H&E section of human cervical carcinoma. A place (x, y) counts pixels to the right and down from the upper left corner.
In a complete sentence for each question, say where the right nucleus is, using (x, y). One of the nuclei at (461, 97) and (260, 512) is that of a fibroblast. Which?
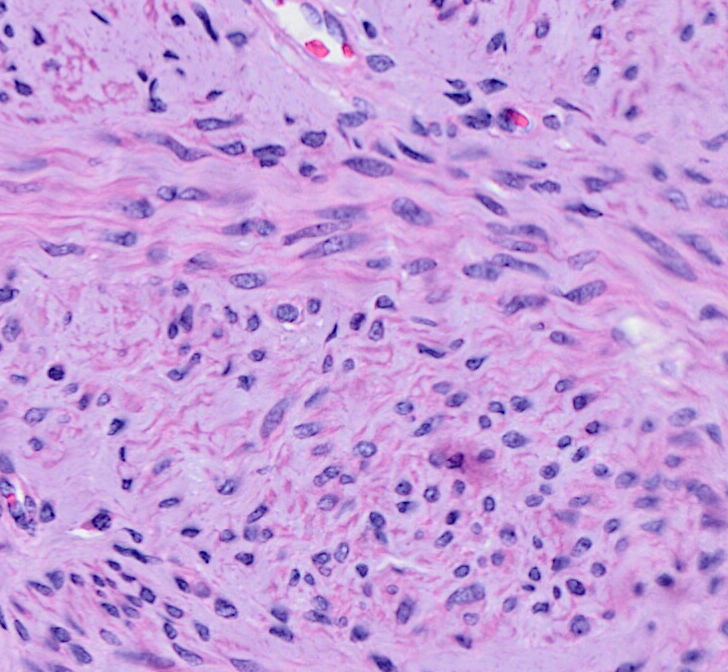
The nucleus whose position is (461, 97) belongs to a fibroblast.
